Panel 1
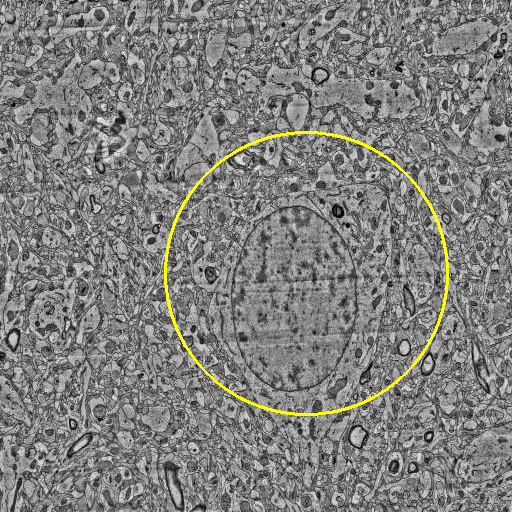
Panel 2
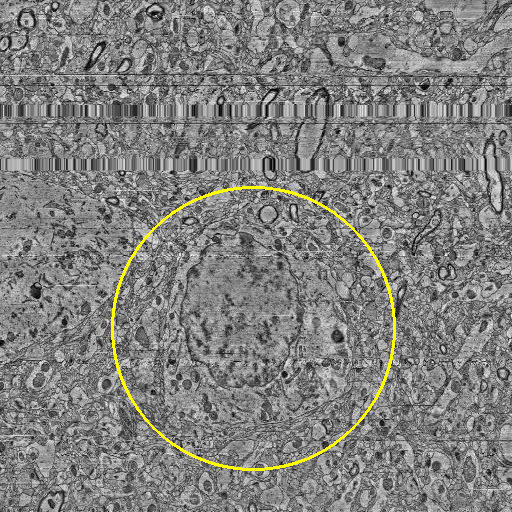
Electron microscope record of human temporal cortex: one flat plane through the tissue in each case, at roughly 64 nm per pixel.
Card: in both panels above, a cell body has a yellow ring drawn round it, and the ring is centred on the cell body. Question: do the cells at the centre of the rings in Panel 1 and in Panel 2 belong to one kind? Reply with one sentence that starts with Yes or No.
No, the cells centred in the rings of Panel 1 and Panel 2 are two kinds of cell.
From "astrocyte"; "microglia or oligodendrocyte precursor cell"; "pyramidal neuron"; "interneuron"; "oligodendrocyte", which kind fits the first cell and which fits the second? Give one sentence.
The cell marked in the first picture is a pyramidal neuron, and the one marked in the second is an interneuron.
